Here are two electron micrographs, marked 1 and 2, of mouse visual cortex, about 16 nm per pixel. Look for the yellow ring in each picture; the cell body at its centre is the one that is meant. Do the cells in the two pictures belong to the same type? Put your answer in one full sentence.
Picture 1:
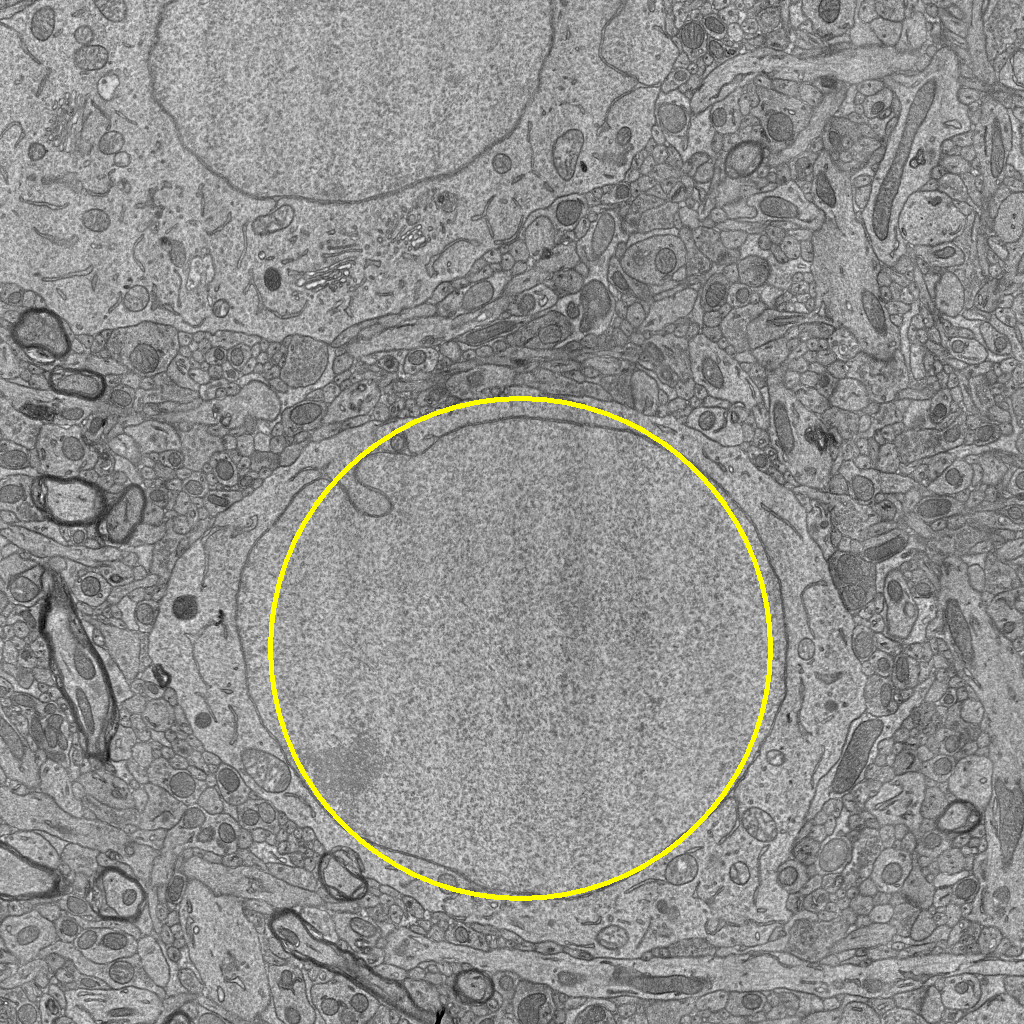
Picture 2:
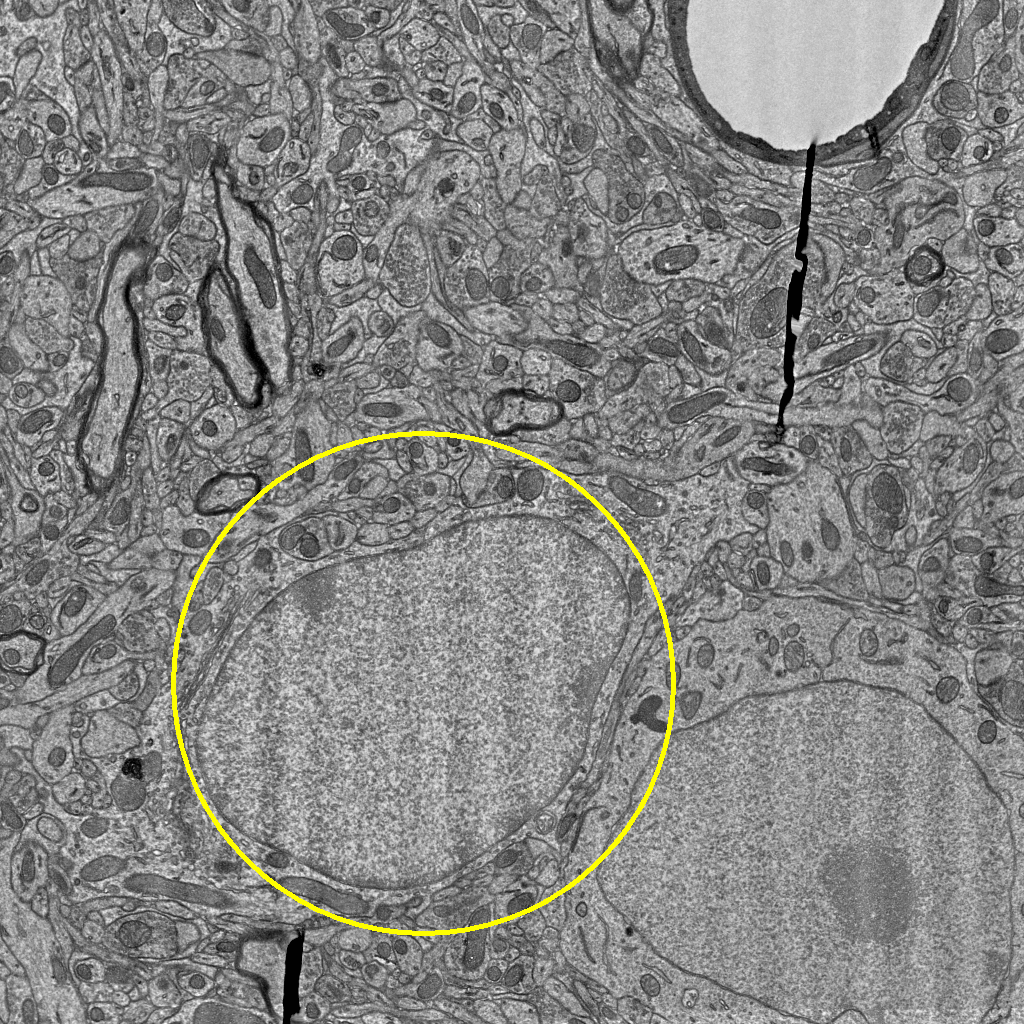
No; the cell in picture 1 is an excitatory neuron, while the one in picture 2 is an astrocyte.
